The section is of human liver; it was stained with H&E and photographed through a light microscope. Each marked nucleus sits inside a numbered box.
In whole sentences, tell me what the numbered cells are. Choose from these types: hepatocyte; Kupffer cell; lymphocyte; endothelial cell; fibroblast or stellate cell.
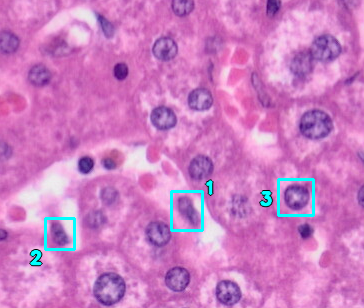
Cell 1 is a Kupffer cell, cell 2 is a Kupffer cell and cell 3 is a hepatocyte.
